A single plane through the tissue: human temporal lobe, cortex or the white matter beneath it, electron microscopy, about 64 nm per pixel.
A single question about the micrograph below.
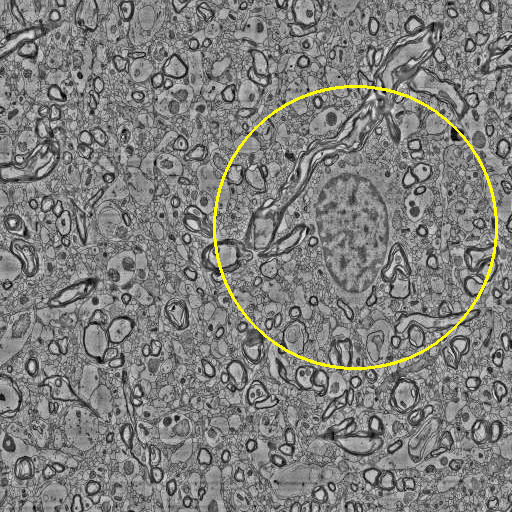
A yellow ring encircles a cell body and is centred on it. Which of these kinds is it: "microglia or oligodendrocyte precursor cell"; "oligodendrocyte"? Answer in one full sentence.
The cell body at the centre of the yellow ring belongs to an oligodendrocyte.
